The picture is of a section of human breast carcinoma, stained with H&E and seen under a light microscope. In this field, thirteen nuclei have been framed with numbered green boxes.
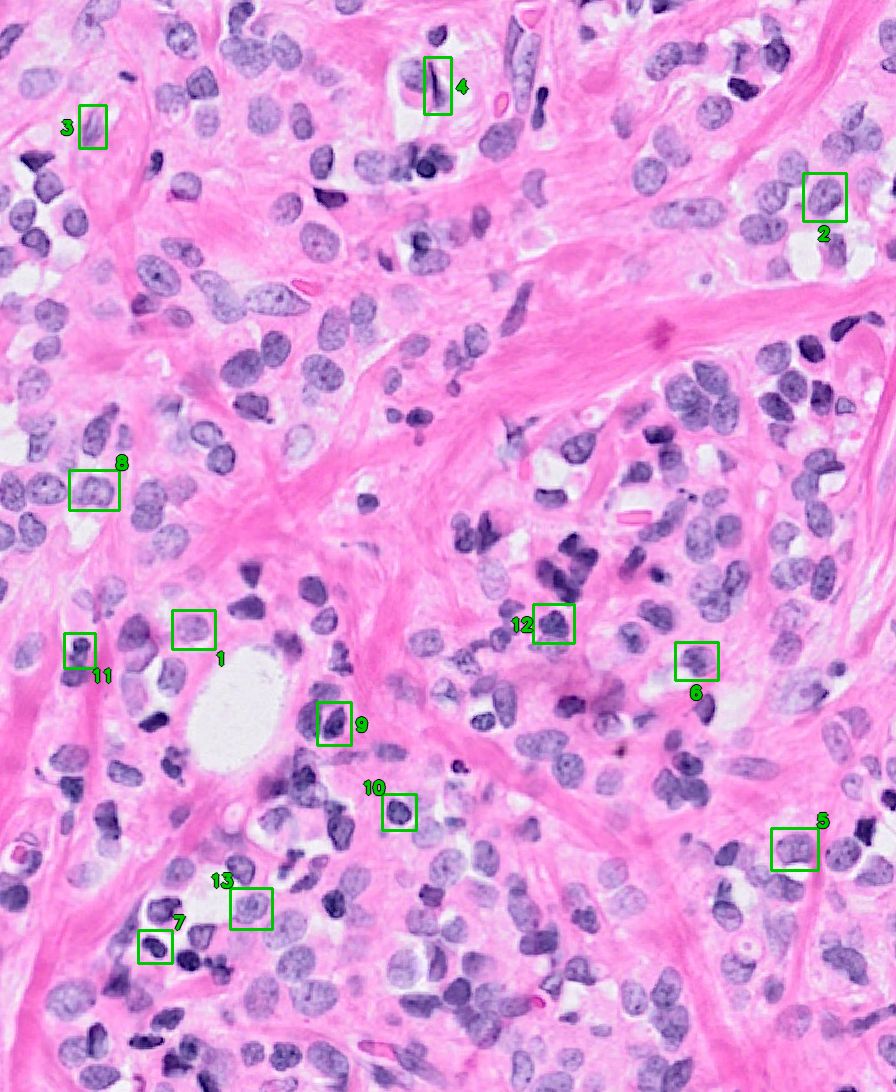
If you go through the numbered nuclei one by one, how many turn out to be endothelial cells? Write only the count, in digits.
1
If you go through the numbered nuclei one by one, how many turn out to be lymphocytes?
5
